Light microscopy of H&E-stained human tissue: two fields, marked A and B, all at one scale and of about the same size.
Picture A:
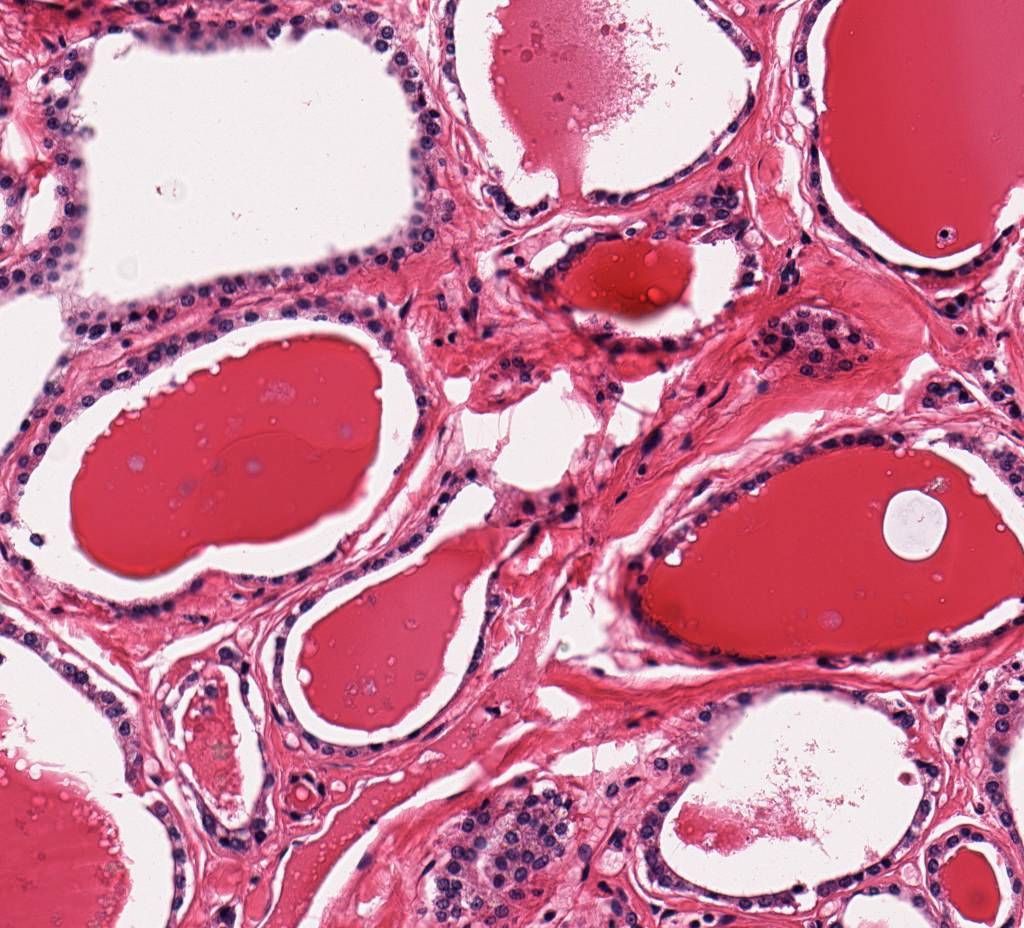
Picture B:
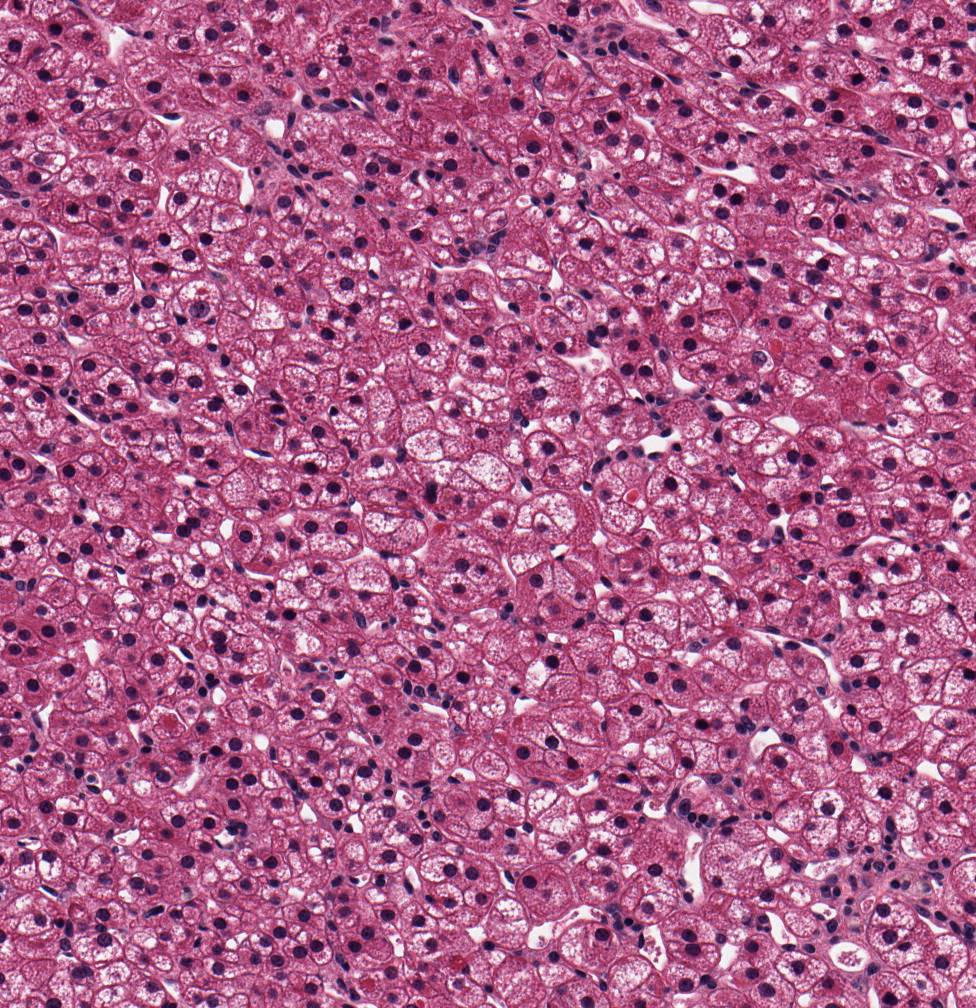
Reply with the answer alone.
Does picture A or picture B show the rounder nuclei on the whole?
B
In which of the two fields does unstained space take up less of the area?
B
